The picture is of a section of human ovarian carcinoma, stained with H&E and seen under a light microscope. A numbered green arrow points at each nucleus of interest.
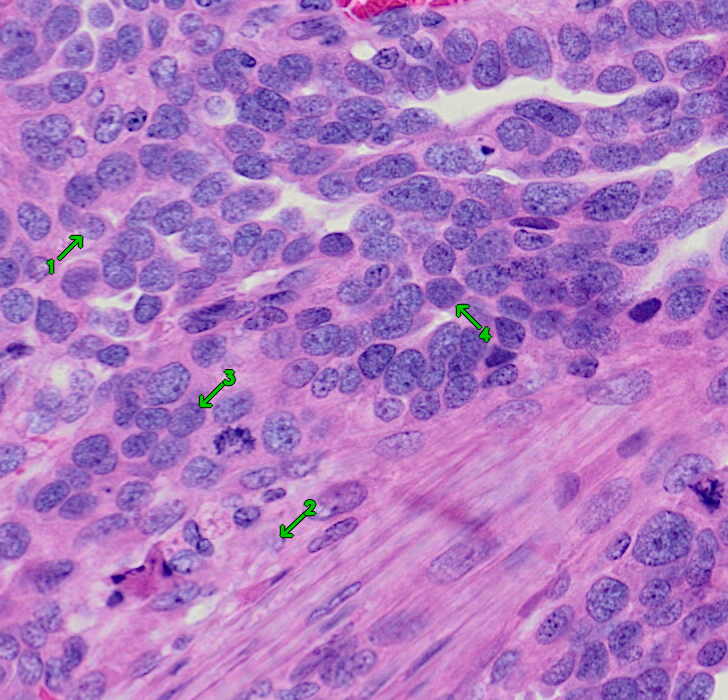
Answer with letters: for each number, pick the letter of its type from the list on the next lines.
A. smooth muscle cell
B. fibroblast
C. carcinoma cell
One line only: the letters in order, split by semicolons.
C; B; C; C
